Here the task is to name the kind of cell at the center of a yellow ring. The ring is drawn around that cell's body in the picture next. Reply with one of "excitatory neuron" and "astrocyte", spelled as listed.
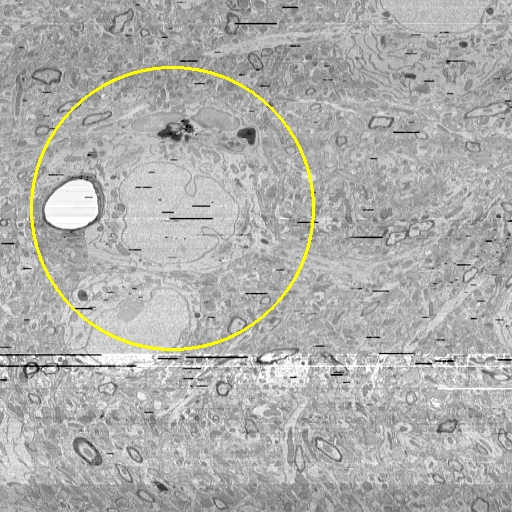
excitatory neuron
